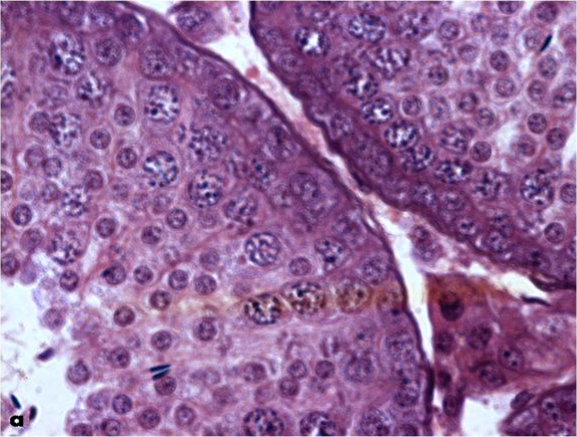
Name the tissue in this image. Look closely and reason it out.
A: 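Testes. Parts of adjoining round tubules separated by a thin strip of interstitial space. Each tubule is lined by many layers of round cells with purple nuclei. A few dark elongated nuclei lie toward the tubule lumen.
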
